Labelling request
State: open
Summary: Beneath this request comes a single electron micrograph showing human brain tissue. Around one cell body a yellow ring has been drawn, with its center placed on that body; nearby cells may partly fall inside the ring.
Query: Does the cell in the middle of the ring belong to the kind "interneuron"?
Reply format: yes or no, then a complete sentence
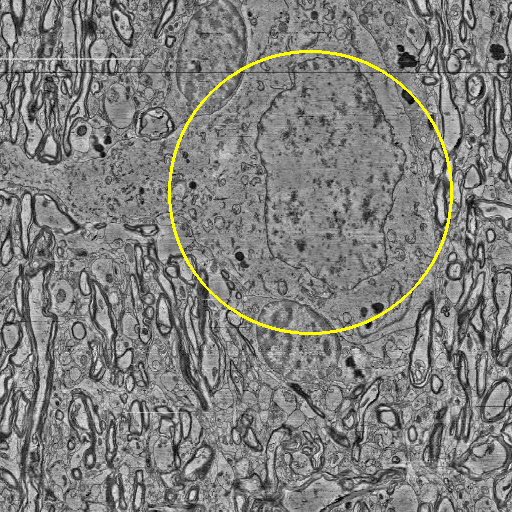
No, the cell sitting at the center of the ring in this picture is of a different kind.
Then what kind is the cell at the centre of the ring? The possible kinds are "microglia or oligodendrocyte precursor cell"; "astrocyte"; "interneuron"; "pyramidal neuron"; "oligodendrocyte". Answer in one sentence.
The cell marked by the ring is a pyramidal neuron.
